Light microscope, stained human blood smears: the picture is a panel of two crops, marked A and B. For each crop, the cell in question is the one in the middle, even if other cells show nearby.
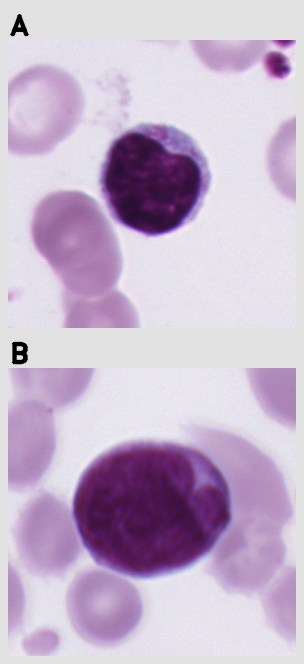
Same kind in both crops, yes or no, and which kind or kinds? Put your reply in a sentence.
No: a large granular lymphocyte sits in crop A, and a blast sits in crop B.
